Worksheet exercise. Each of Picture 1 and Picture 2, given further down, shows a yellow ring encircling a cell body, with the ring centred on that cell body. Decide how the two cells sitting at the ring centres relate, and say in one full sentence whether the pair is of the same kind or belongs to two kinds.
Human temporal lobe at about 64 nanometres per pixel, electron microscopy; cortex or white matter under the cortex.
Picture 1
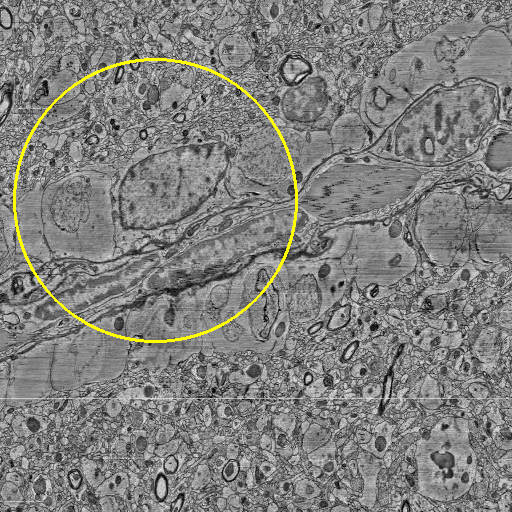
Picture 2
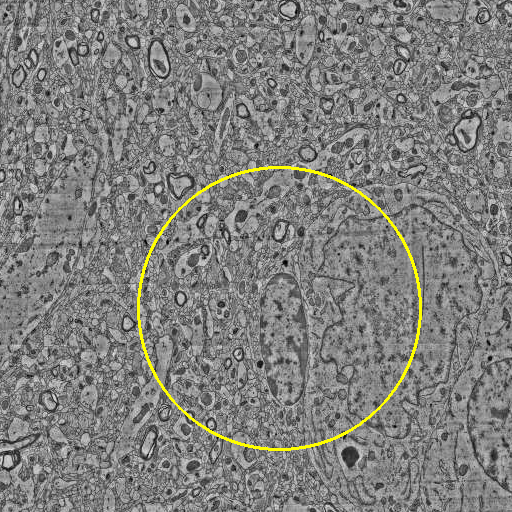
The cells at the ring centres in Picture 1 and Picture 2 are of the same kind.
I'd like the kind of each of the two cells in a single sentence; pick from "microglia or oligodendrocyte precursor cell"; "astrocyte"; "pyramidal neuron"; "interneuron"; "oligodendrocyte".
In each picture the ringed cell is a microglial cell or oligodendrocyte precursor cell.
